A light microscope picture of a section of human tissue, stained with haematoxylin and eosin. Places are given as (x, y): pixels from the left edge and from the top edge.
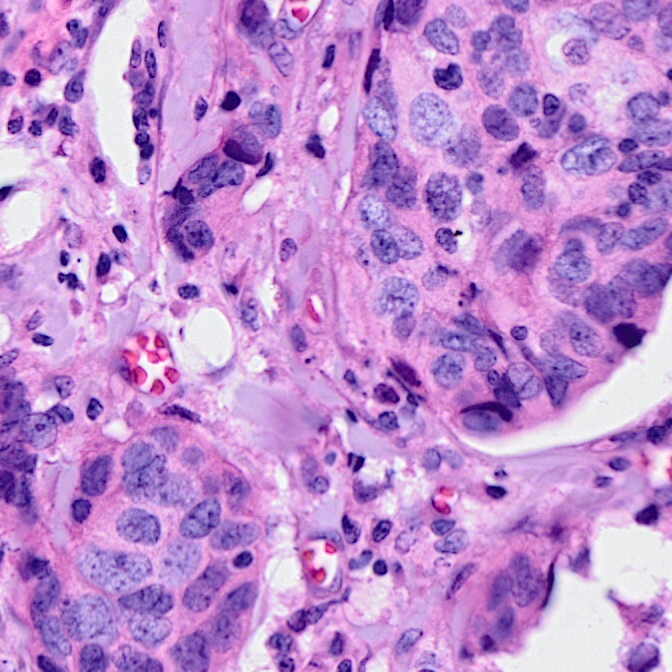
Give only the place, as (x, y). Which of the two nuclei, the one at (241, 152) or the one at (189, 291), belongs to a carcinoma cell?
(241, 152)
